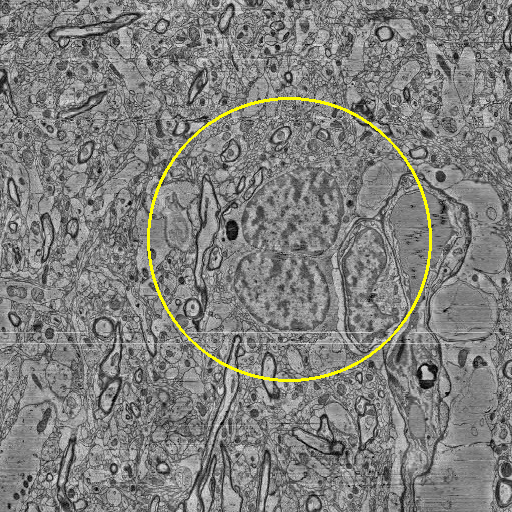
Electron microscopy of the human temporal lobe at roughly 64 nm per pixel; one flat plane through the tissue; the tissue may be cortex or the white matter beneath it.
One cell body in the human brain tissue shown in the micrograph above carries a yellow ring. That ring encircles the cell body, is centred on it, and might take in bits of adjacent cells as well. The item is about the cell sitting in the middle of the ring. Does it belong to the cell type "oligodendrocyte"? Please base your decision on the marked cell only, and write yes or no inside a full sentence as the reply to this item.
Yes, the cell at the middle of the ring in the micrograph is of this kind.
